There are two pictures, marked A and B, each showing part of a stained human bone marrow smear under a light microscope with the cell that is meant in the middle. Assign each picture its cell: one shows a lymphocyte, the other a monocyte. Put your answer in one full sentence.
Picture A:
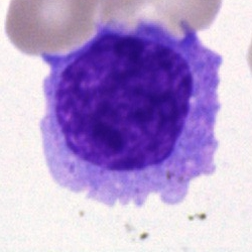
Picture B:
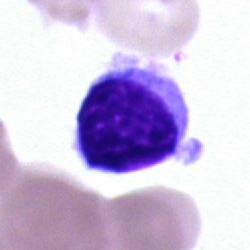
In picture A the cell is a monocyte; in picture B, a lymphocyte.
